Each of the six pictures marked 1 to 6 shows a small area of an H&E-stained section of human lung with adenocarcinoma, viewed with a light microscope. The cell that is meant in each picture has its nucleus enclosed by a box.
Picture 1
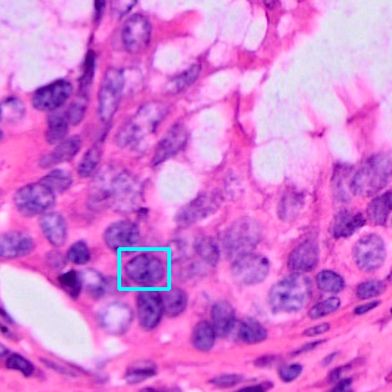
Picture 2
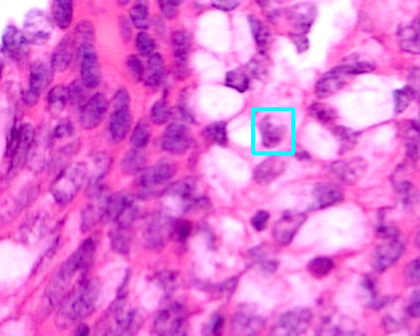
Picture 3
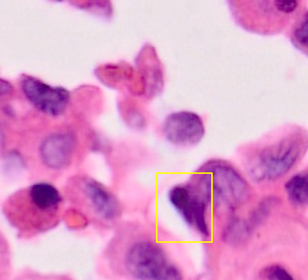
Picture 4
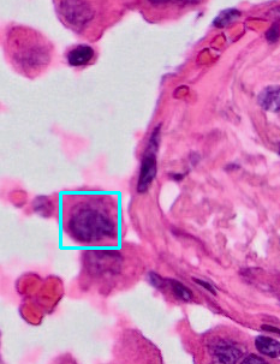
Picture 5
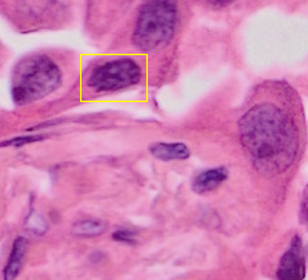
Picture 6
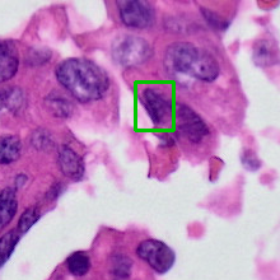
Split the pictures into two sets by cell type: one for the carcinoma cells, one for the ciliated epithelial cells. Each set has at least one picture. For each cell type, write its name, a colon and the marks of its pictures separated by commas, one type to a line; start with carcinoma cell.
carcinoma cell: 3, 4, 5, 6
ciliated epithelial cell: 1, 2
